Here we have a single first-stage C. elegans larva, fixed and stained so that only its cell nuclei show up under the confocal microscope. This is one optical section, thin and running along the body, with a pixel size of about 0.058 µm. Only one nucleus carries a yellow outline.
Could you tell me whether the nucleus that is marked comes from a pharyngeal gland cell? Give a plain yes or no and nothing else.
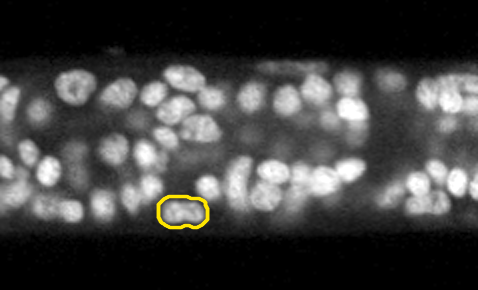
no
